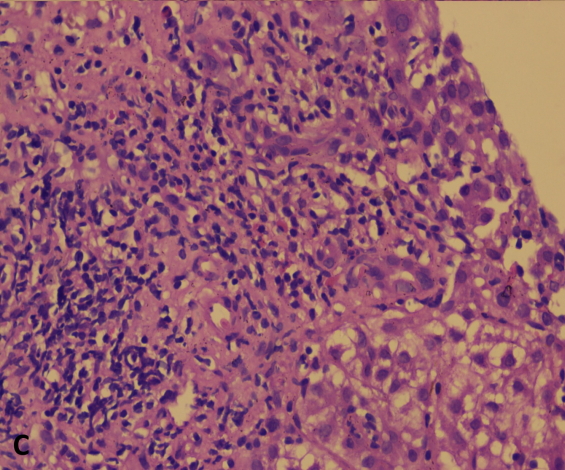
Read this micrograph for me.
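This high-power view of liver shows a dense inflammatory infiltrate beside surviving hepatocytes. On the left, many small cells with dark, compact nuclei are packed closely together with little cytoplasm between them. On the right, hepatocytes appear as large polygonal cells with round nuclei and pale pink cytoplasm, many of them looking clear or vacuolated. The normal orderly cords of liver cells are disrupted where the inflammatory cells crowd in.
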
